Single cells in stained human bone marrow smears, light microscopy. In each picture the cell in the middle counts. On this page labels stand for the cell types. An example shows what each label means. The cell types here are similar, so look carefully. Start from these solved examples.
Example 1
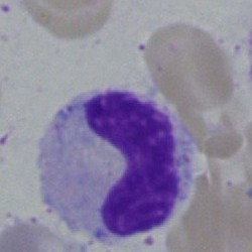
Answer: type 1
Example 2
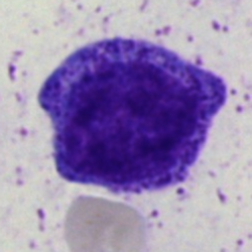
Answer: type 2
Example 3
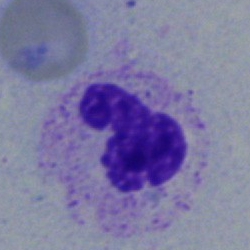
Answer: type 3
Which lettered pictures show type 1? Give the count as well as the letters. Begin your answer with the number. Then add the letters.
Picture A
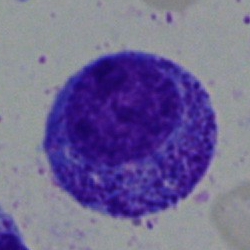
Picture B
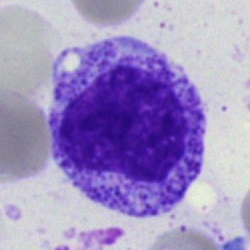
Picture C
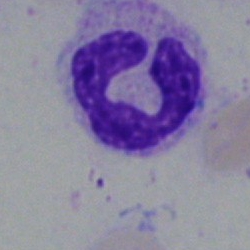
Count: 1 (C)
